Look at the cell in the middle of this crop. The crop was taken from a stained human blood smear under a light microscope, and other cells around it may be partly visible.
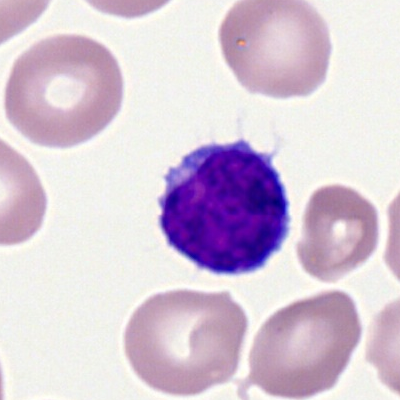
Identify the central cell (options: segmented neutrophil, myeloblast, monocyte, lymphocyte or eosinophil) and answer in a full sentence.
By classification, the middle cell of this crop is a lymphocyte.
